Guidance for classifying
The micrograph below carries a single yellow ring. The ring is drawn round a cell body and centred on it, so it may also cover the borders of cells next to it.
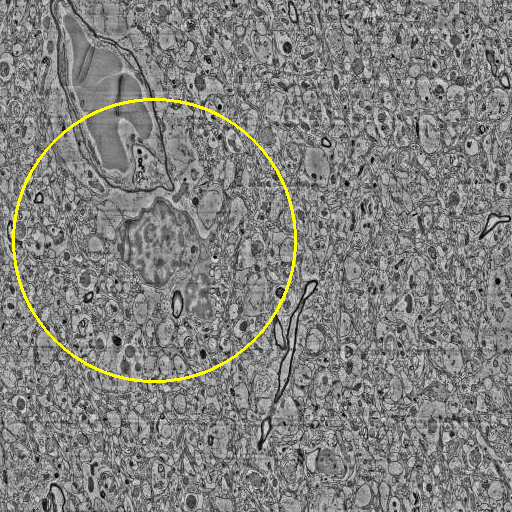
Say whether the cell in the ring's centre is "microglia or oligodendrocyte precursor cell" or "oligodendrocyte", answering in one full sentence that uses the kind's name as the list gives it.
Within the yellow ring, an oligodendrocyte is the cell whose body sits at the centre.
